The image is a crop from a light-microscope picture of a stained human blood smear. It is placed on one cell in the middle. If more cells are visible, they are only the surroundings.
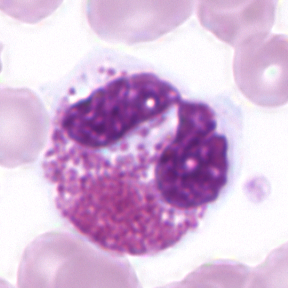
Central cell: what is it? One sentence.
The cell marked by its central position in the crop is an eosinophil.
